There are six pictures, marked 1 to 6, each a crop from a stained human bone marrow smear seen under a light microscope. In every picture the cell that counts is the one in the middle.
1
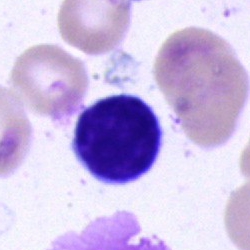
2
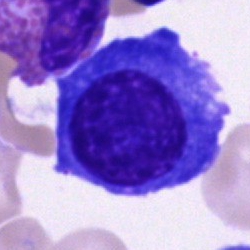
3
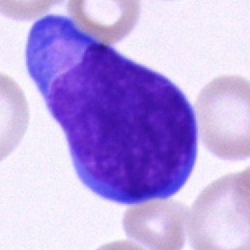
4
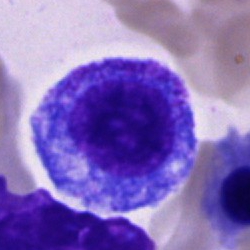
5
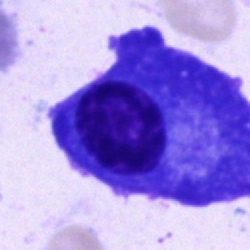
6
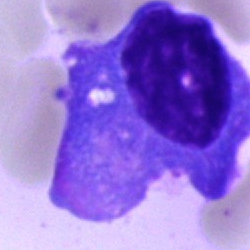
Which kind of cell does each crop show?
1: lymphocyte
2: plasma cell
3: blast
4: promyelocyte
5: plasma cell
6: plasma cell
